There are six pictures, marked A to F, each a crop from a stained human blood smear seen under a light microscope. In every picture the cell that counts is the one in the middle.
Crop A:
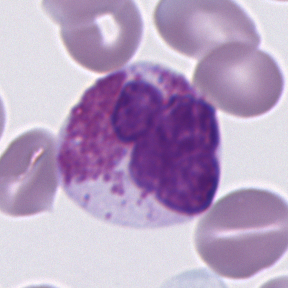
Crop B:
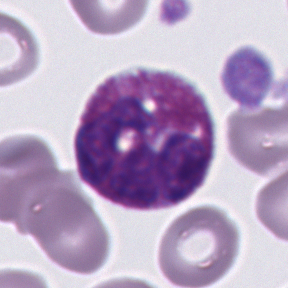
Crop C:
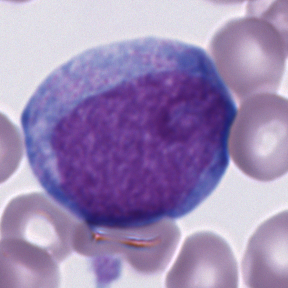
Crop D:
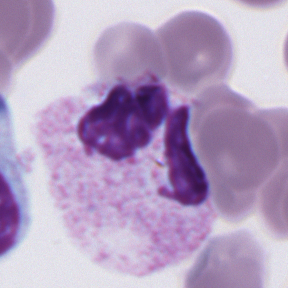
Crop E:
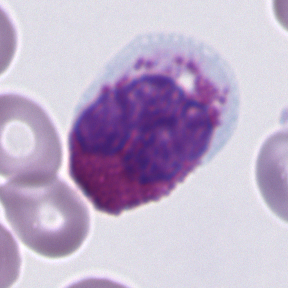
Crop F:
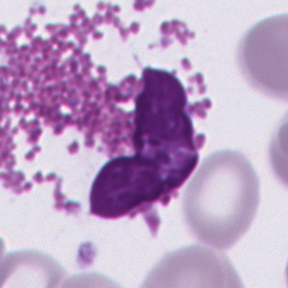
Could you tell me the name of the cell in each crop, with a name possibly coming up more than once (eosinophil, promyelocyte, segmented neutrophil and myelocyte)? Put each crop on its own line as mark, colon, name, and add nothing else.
A: eosinophil
B: eosinophil
C: promyelocyte
D: segmented neutrophil
E: eosinophil
F: eosinophil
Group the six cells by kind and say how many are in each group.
eosinophil: 4
promyelocyte: 1
segmented neutrophil: 1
